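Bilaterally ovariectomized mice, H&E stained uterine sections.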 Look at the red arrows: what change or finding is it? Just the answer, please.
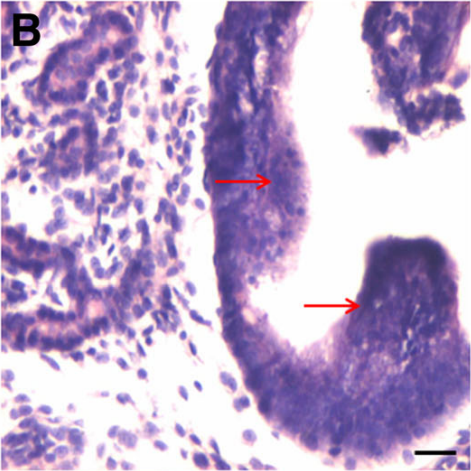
Hyperplasia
